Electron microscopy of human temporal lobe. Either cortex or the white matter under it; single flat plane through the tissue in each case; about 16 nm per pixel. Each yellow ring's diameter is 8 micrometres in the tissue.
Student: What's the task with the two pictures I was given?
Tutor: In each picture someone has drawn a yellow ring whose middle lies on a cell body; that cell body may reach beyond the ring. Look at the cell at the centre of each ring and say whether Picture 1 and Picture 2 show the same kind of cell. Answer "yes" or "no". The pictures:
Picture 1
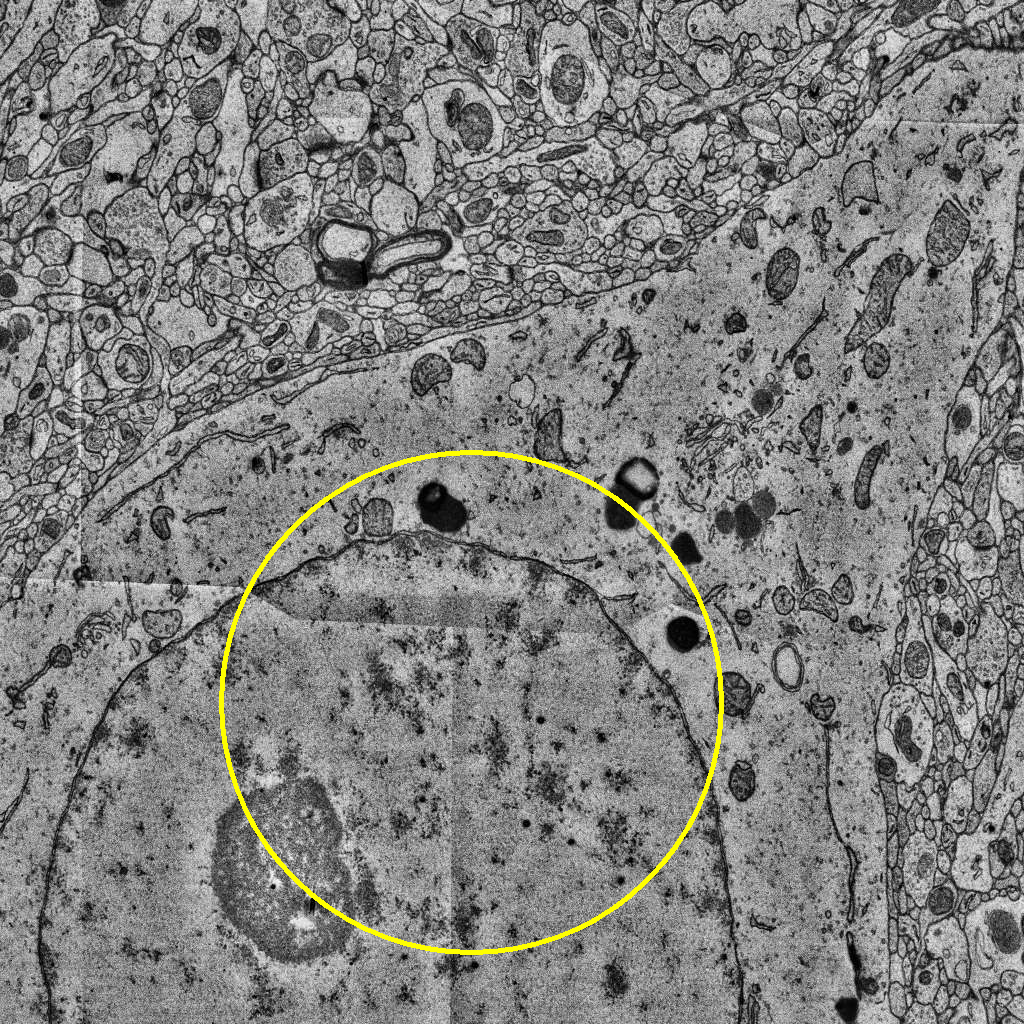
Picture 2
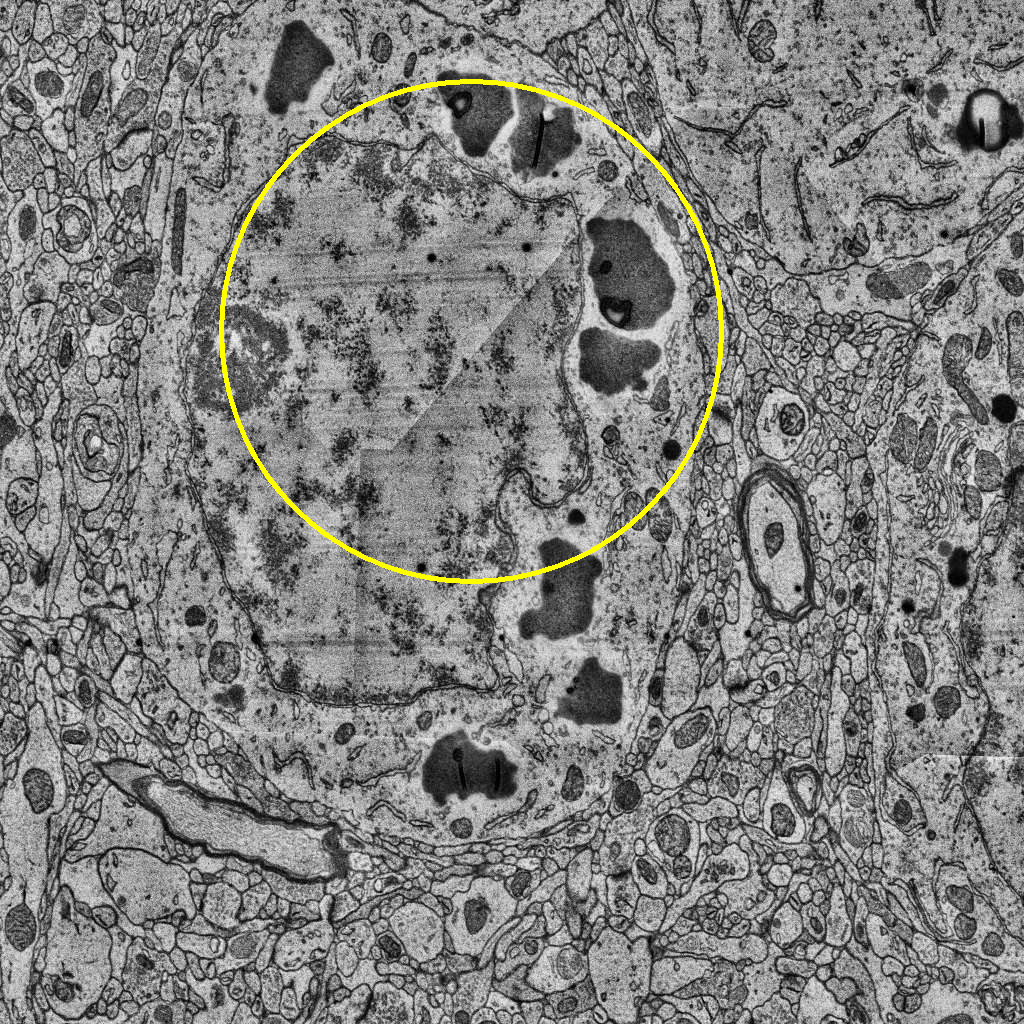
no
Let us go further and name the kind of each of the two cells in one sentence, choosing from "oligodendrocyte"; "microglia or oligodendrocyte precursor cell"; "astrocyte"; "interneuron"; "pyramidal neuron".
The first picture shows a pyramidal neuron at the ring centre and the second shows an interneuron.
